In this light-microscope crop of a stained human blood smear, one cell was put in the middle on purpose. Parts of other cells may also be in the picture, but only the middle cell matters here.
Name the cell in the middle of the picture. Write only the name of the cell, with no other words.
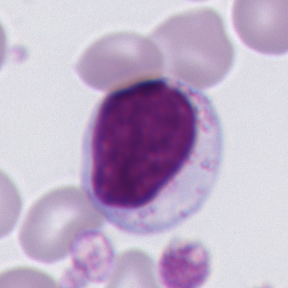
large granular lymphocyte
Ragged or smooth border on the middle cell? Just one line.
Nothing juts out from the margin, which is smooth throughout.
